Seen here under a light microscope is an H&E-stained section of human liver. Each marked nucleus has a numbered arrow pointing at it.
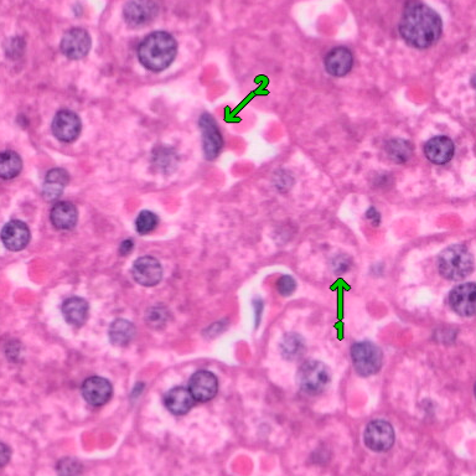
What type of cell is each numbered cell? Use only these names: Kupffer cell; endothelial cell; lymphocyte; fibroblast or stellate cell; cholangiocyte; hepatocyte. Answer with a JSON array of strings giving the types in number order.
["hepatocyte", "Kupffer cell"]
